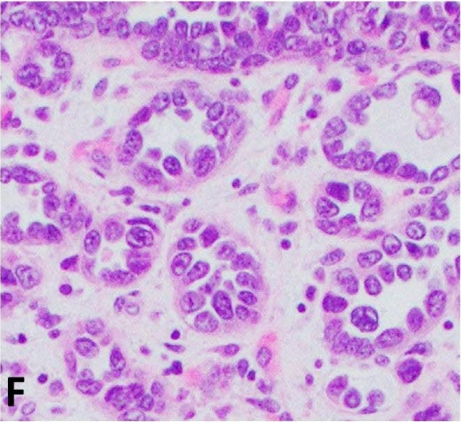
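At high power, small tubules of tumor cells lie in a loose, pale stroma. The lining cells carry large, rounded nuclei with open chromatin and clear nucleoli, far bigger than normal lining cell nuclei. Many nuclei sit at the apex of their cell and bulge into the small lumen, giving the tubules a studded, hobnail look. The cytoplasm is scant and pale pink to clear. Scattered small dark cells in the stroma between the tubules look like inflammatory cells.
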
